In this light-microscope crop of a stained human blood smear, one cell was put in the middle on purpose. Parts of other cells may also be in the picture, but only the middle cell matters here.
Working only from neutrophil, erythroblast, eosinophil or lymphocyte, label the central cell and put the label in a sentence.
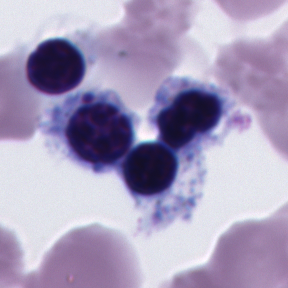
The cell in the middle of this crop is an erythroblast.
